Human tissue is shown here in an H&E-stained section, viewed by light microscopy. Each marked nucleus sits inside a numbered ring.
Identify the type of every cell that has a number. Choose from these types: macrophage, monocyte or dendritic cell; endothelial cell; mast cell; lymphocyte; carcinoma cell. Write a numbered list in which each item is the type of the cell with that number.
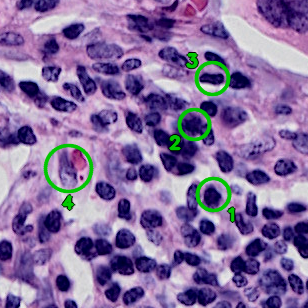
1. lymphocyte
2. lymphocyte
3. lymphocyte
4. endothelial cell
